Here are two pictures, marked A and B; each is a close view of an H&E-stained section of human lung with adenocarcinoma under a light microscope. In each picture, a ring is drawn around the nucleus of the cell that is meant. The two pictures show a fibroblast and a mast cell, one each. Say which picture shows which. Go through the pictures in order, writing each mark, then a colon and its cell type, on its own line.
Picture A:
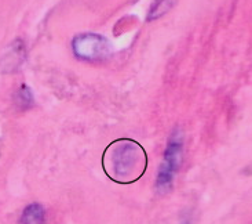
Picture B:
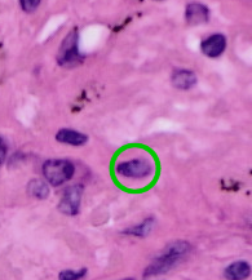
A: fibroblast
B: mast cell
